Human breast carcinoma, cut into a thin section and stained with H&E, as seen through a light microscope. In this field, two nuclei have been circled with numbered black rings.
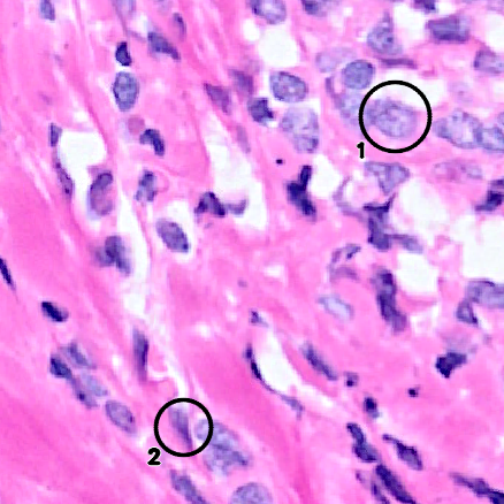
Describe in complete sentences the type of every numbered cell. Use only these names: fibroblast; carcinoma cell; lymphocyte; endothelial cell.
Cell 1 is a carcinoma cell and cell 2 is an endothelial cell.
